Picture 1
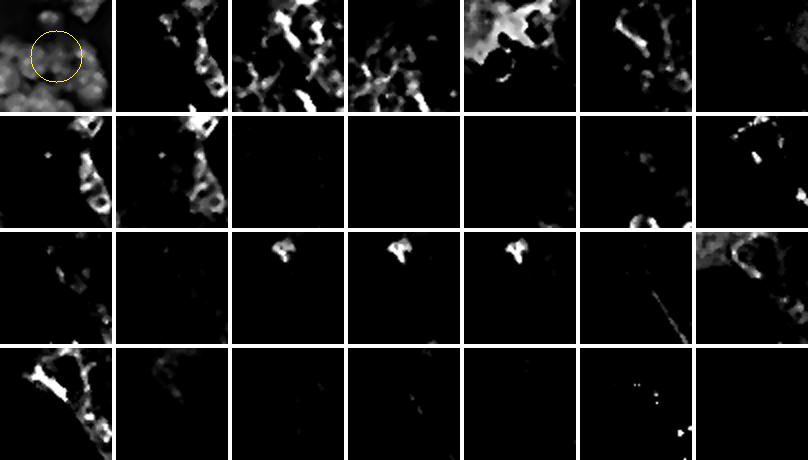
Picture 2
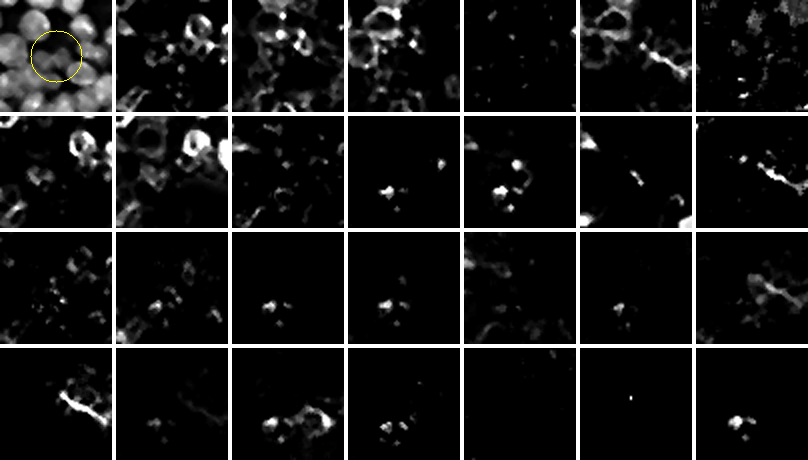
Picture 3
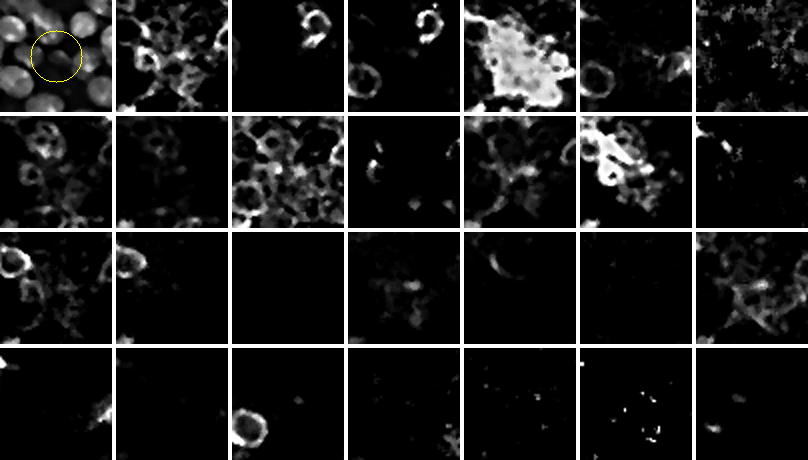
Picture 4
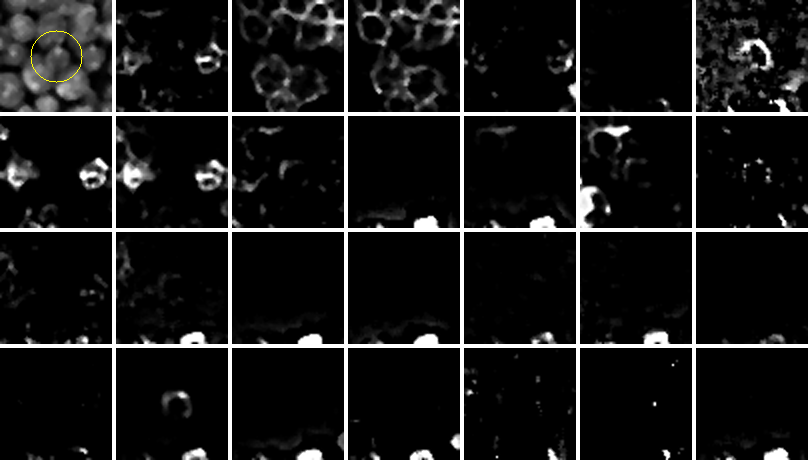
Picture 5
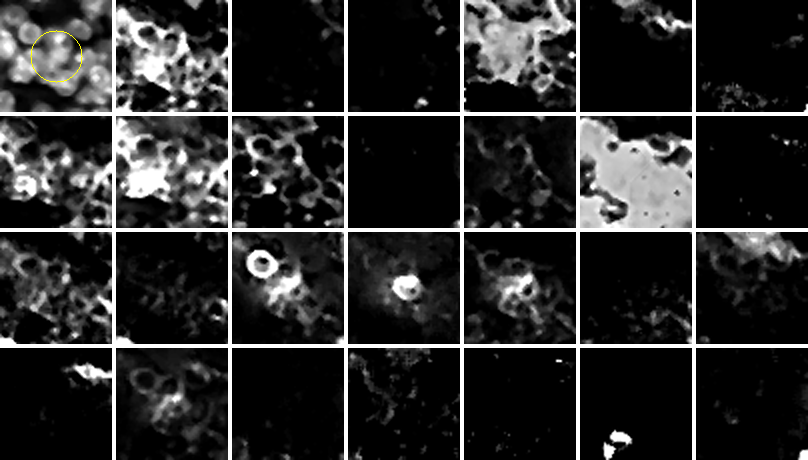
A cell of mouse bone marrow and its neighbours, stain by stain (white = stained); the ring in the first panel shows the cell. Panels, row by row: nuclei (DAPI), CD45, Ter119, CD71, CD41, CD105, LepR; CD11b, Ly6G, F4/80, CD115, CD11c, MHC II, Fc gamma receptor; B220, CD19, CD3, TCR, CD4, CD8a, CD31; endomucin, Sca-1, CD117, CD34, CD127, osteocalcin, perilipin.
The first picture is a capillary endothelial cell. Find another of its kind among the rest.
Picture 2.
